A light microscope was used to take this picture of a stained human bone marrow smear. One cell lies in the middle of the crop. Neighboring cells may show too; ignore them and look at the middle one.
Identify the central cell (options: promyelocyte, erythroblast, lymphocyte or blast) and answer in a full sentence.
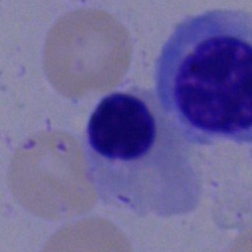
The single cell at the center of the crop is an erythroblast.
